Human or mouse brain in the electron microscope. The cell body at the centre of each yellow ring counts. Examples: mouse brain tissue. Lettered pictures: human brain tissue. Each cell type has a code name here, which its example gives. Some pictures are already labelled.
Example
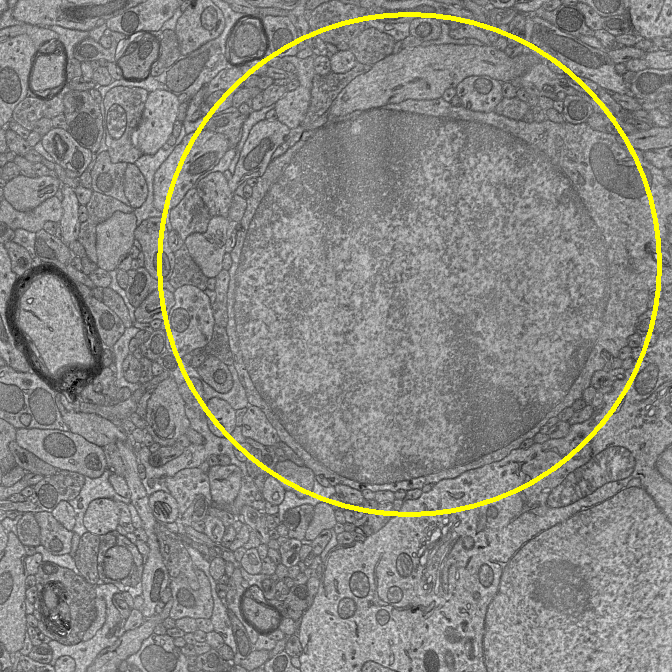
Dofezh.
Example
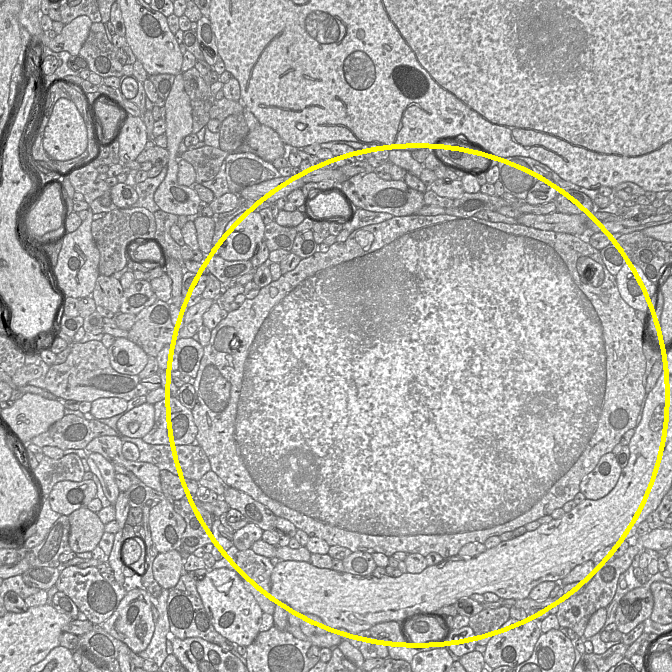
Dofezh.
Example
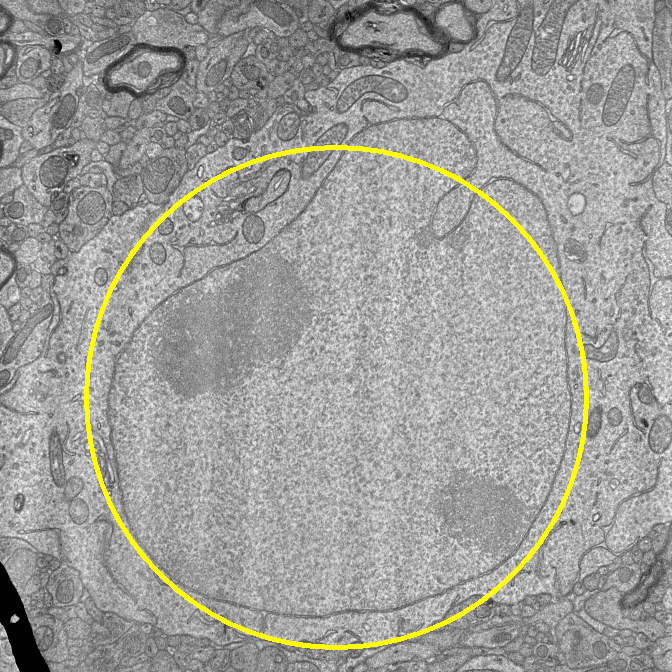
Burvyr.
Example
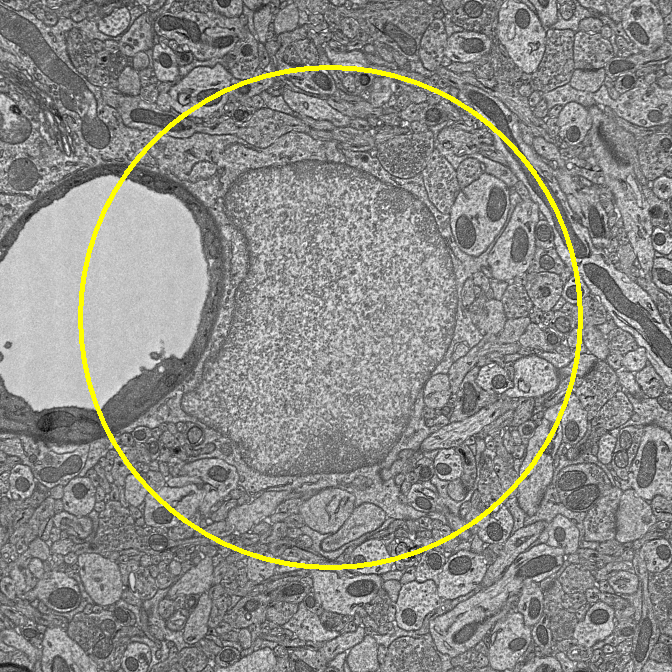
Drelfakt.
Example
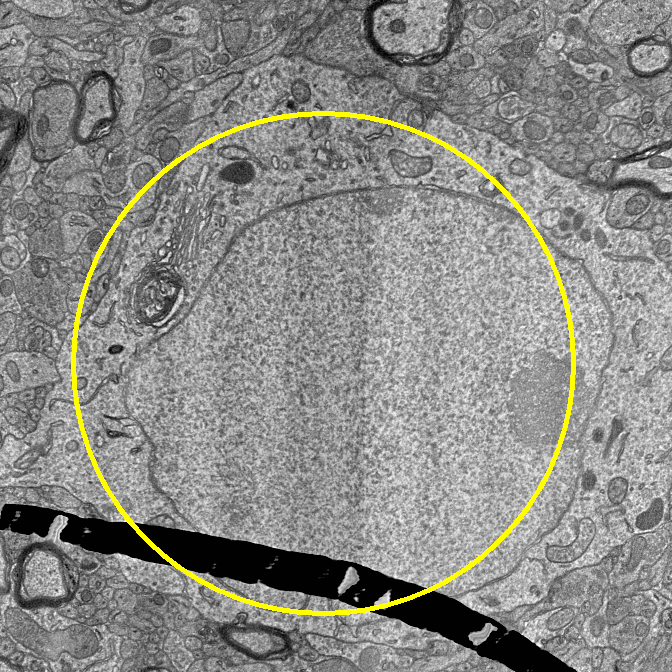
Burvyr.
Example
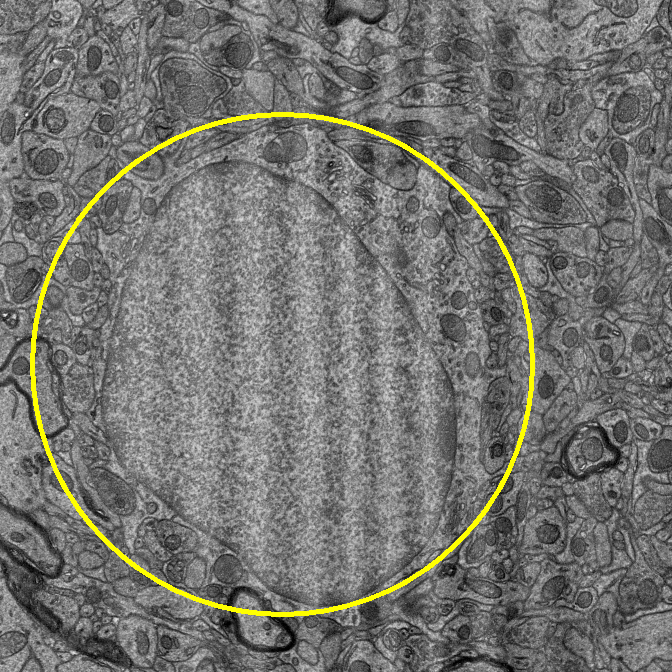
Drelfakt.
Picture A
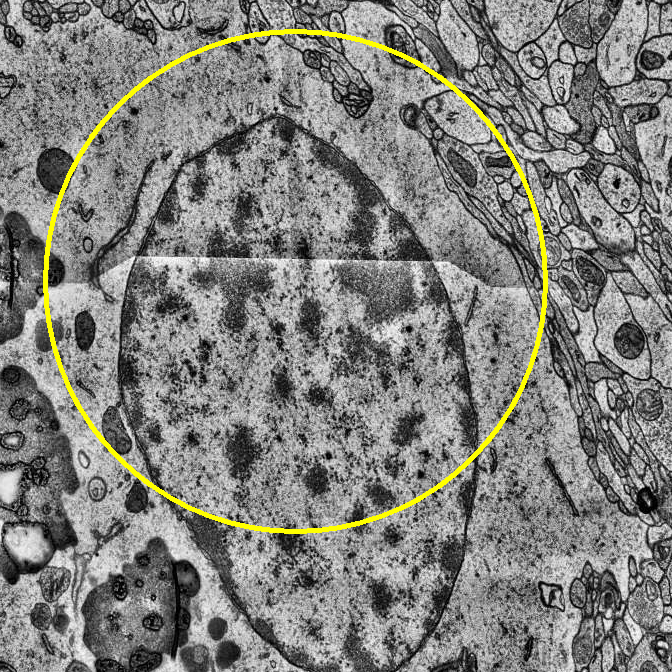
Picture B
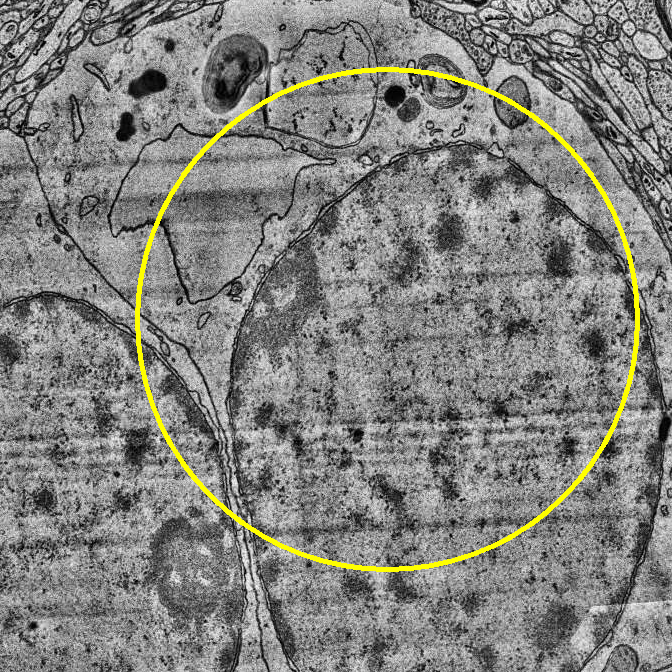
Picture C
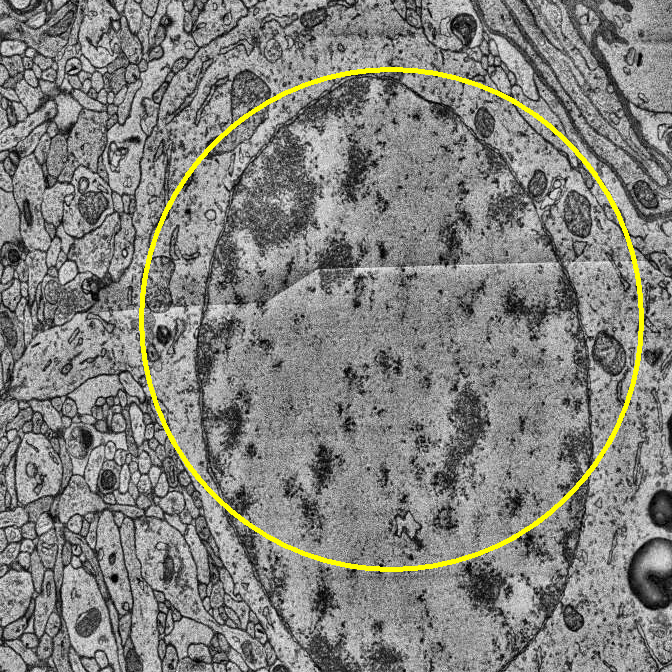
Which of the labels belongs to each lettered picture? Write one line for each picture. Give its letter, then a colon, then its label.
A: Drelfakt.
B: Drelfakt.
C: Burvyr.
